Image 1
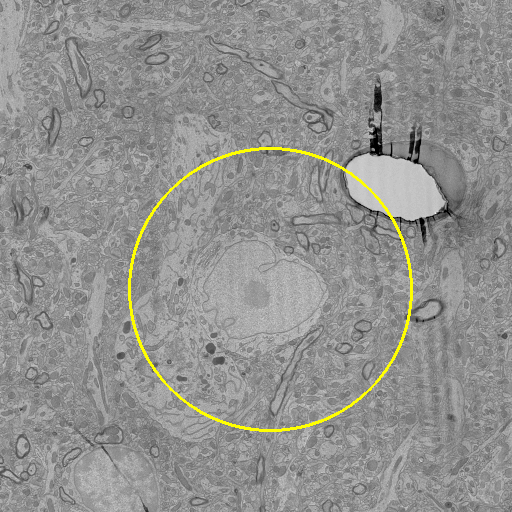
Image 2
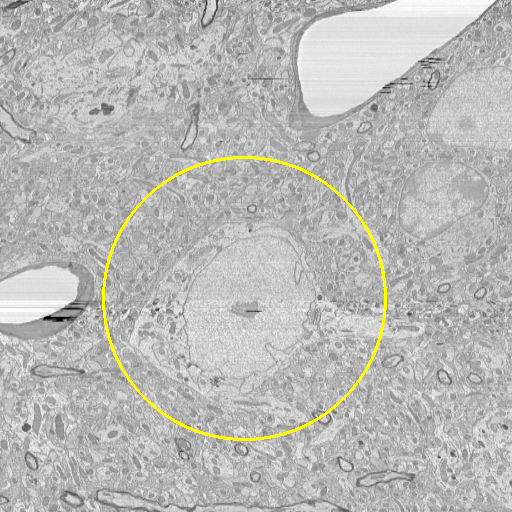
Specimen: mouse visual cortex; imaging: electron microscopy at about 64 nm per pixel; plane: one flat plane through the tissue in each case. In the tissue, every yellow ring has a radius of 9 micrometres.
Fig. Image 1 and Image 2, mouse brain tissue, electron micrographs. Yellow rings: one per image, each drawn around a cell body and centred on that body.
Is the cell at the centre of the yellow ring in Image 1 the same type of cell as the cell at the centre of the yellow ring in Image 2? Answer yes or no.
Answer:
yes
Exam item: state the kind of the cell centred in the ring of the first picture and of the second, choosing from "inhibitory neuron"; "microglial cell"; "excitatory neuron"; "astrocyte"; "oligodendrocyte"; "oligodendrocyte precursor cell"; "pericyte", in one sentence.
The second cell is an inhibitory neuron, just as the first is.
